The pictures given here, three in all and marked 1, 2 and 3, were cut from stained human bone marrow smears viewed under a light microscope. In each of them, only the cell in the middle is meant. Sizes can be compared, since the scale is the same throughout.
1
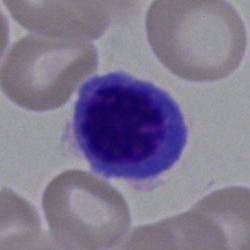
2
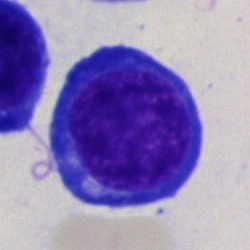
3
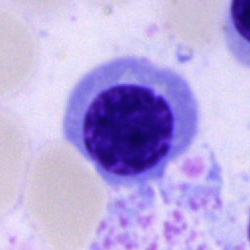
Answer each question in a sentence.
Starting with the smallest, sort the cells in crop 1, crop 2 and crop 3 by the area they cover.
The order is 1, 3, 2, beginning with the smallest.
